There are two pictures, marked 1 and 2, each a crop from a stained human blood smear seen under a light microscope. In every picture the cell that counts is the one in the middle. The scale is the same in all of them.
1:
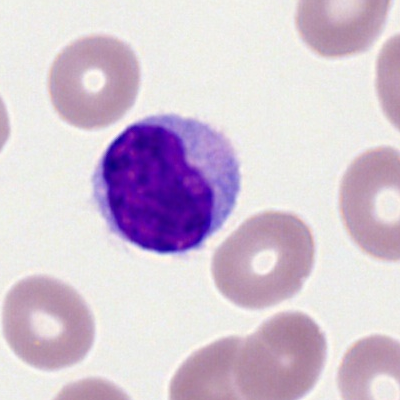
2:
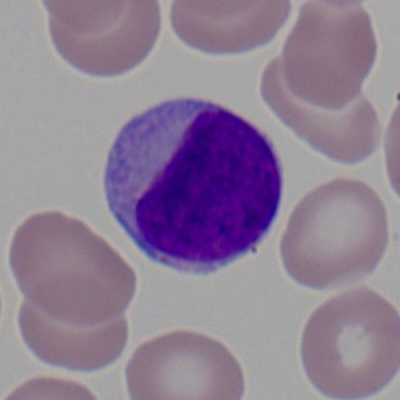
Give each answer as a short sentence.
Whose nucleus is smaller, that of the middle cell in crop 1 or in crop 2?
Smaller is the nucleus in crop 1, and the other is about 1.5 times as large in area.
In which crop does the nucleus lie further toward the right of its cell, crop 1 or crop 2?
It is the nucleus in crop 2 that lies further toward the right of its cell.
